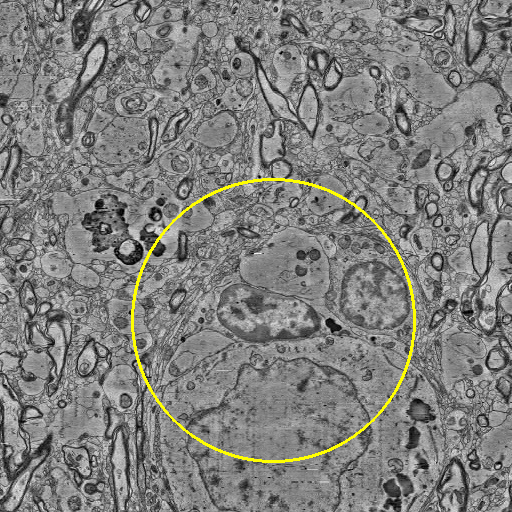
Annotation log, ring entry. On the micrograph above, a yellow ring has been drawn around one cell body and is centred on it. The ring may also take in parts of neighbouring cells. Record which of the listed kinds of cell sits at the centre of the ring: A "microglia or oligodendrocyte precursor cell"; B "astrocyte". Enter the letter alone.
A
